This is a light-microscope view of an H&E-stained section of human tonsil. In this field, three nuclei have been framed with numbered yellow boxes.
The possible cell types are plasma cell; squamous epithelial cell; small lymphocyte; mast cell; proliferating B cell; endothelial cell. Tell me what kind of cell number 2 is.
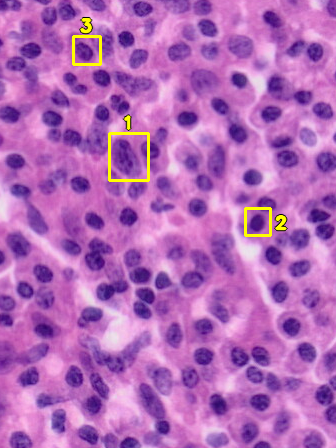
plasma cell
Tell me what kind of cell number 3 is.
plasma cell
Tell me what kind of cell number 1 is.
squamous epithelial cell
